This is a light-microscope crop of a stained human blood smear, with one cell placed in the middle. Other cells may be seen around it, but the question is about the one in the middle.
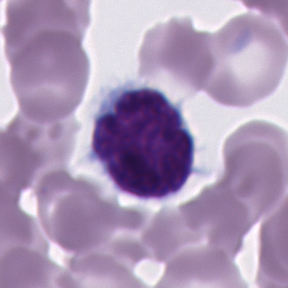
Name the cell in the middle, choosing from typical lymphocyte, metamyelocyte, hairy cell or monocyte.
hairy cell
